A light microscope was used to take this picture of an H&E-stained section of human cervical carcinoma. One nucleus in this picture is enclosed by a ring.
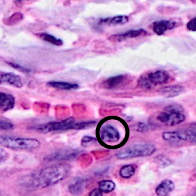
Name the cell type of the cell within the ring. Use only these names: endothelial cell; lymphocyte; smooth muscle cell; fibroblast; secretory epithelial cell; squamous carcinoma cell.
lymphocyte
